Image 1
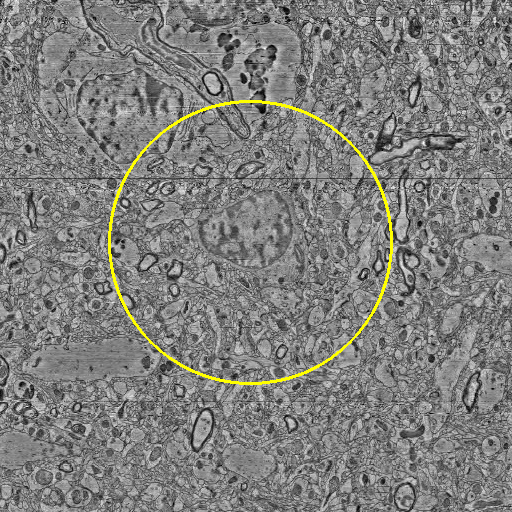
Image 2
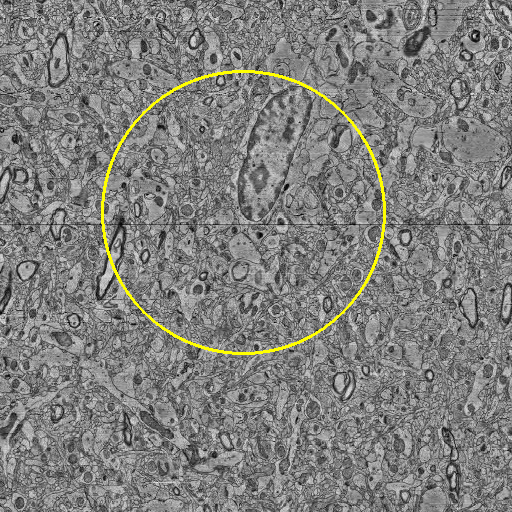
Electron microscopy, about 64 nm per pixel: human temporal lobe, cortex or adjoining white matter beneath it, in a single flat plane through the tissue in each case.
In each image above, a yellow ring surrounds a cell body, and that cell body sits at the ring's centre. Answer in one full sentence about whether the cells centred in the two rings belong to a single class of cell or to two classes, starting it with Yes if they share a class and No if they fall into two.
No, the cells centred in the two yellow rings belong to two classes of cell.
